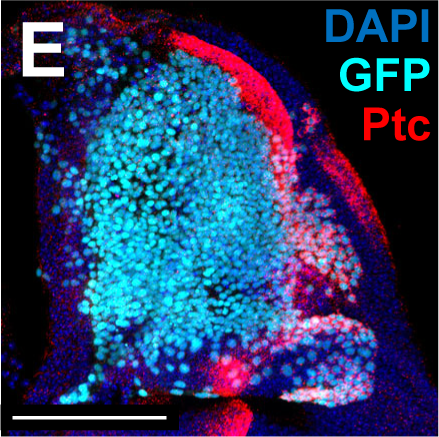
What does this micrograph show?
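A close view of the notum region of a wing disc with a dense mass of small round cyan nuclei of adult muscle precursor cells lying over the epithelium. The precursor cells are tightly packed, with nuclei of similar size and little visible cytoplasm between them. A curved band of red signal runs along the right side of the cell mass in the epithelium, and some precursor cells to its right also carry red signal. A bright red spot sits near the lower edge of the field.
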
